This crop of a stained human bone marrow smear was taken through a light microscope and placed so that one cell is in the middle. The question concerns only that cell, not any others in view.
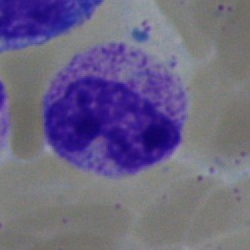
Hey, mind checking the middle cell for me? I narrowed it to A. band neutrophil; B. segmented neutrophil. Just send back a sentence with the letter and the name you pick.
The cell at the centre, correctly named in option A, is a band neutrophil.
